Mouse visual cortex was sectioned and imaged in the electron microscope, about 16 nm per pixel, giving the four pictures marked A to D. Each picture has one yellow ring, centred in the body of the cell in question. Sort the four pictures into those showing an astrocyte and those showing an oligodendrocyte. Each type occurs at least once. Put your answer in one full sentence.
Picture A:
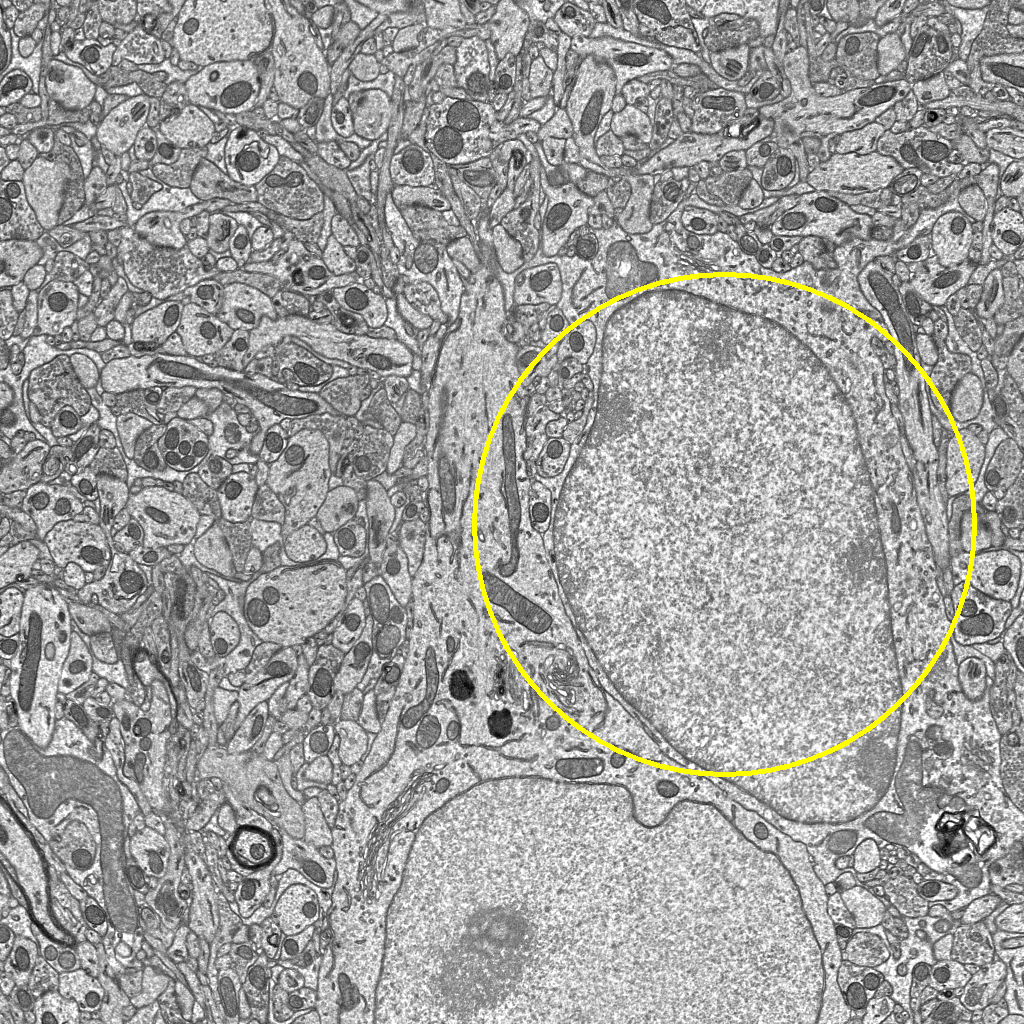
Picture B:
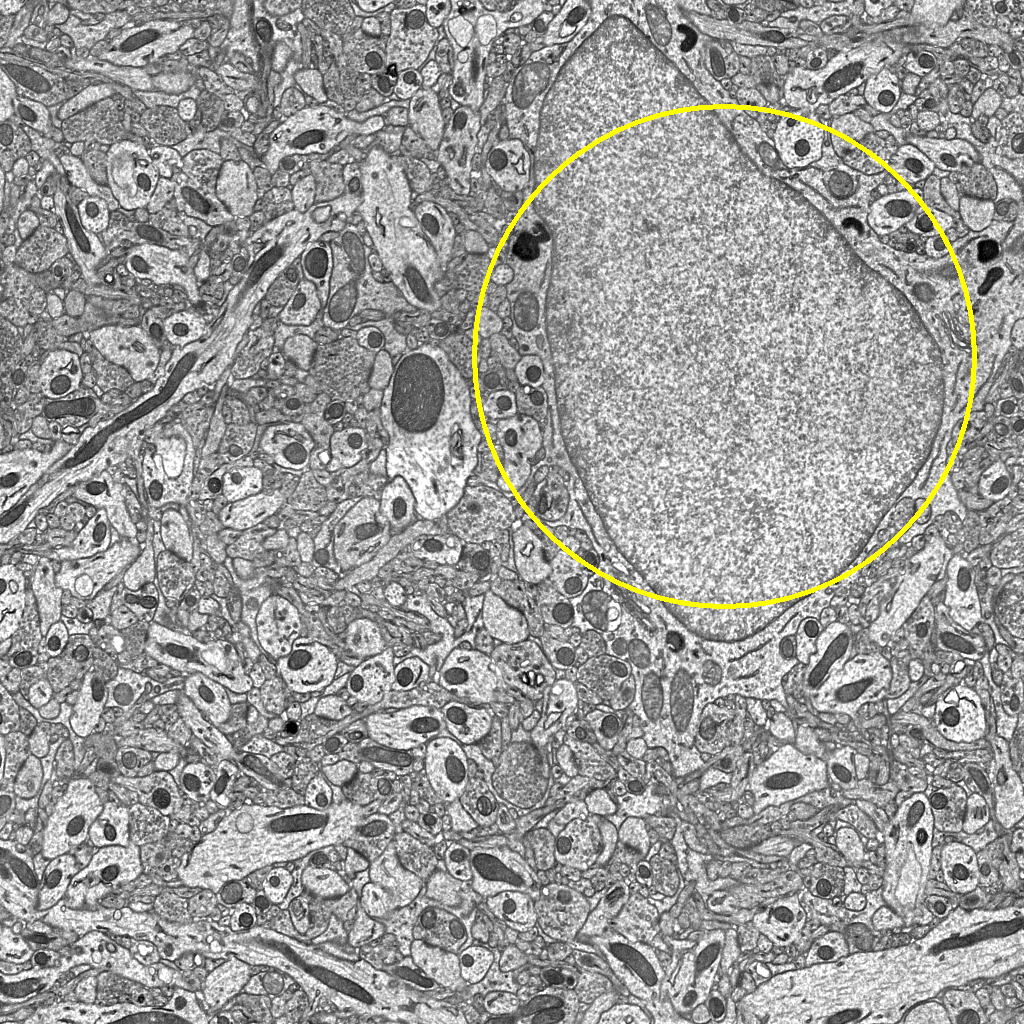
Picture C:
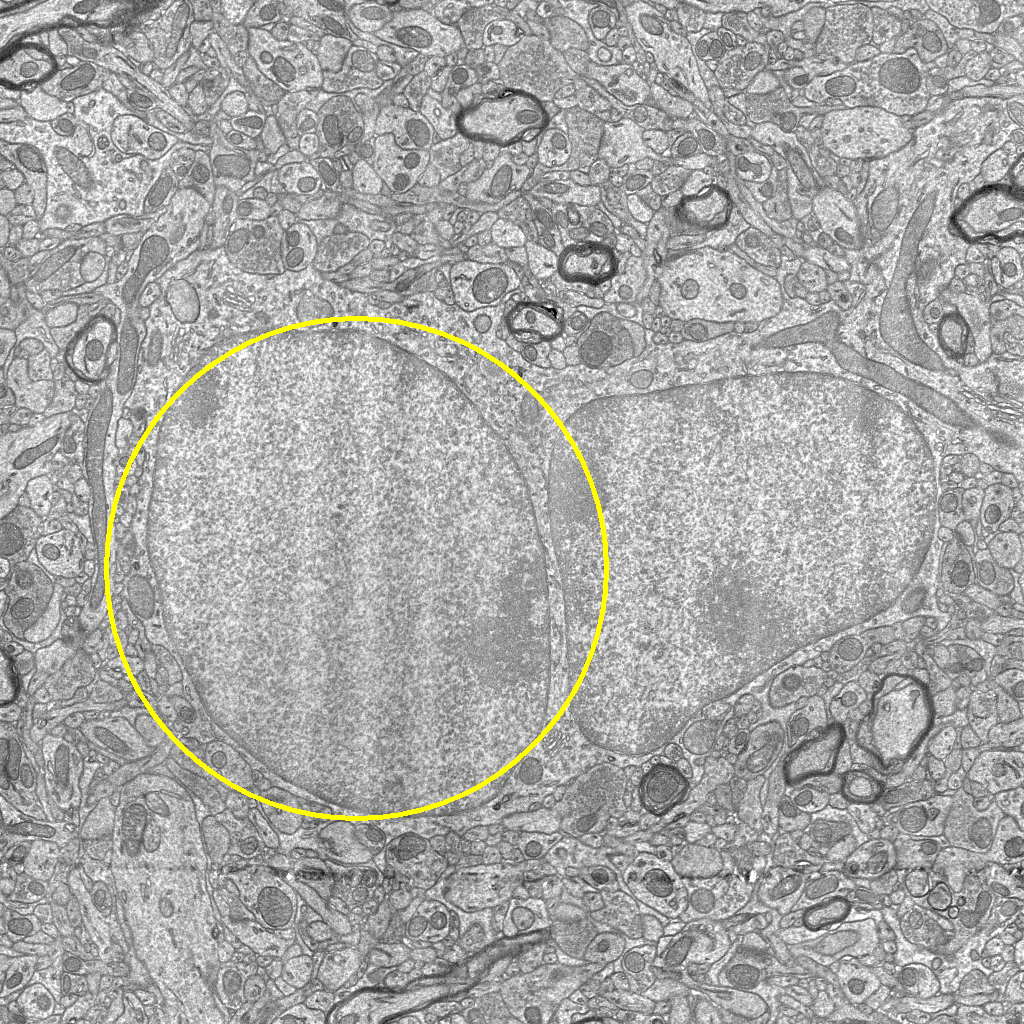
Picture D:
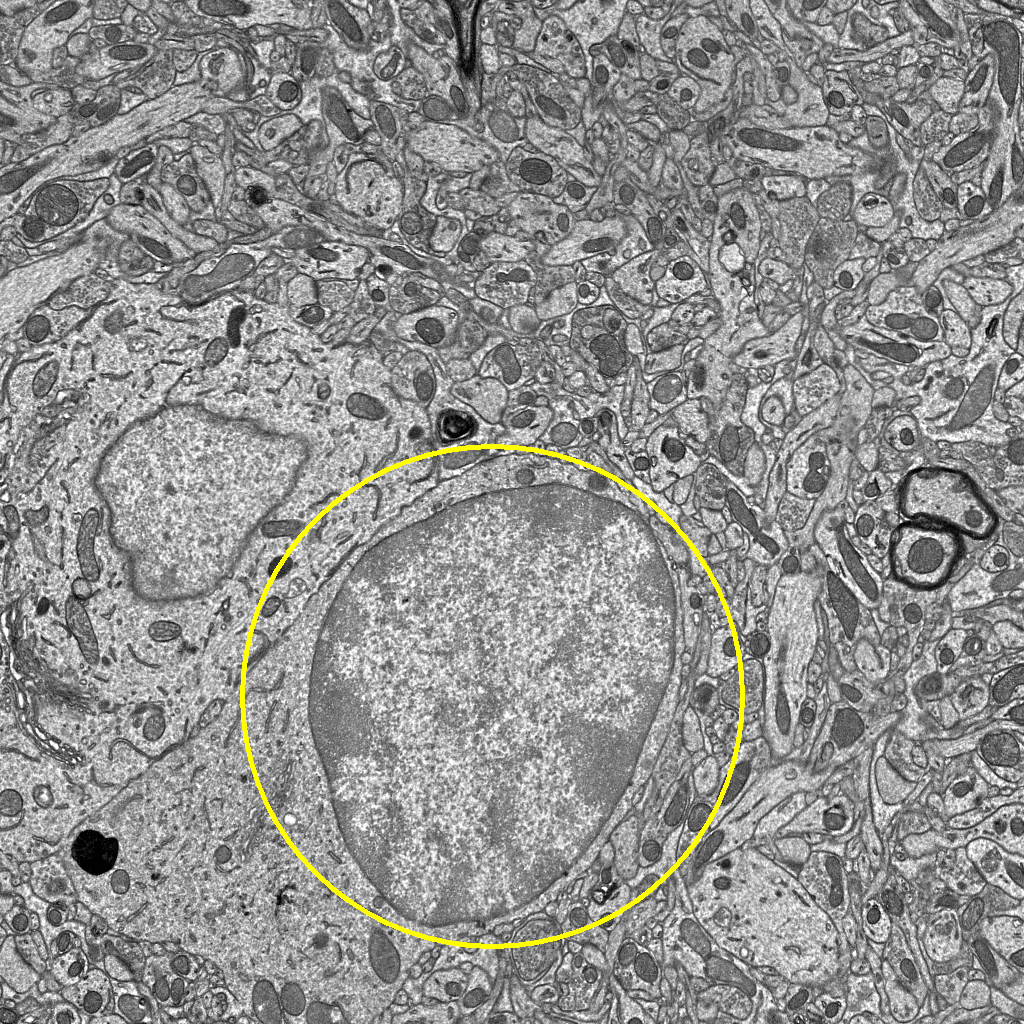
Pictures A, B and C show astrocytes, and picture D shows an oligodendrocyte.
